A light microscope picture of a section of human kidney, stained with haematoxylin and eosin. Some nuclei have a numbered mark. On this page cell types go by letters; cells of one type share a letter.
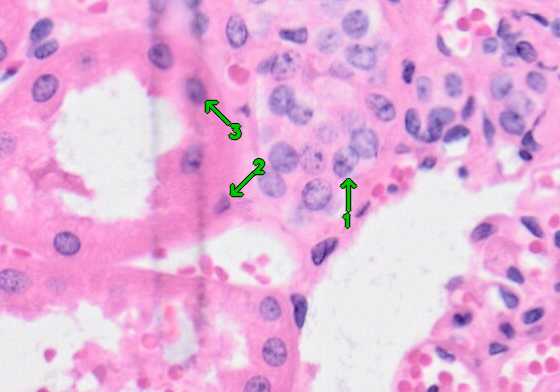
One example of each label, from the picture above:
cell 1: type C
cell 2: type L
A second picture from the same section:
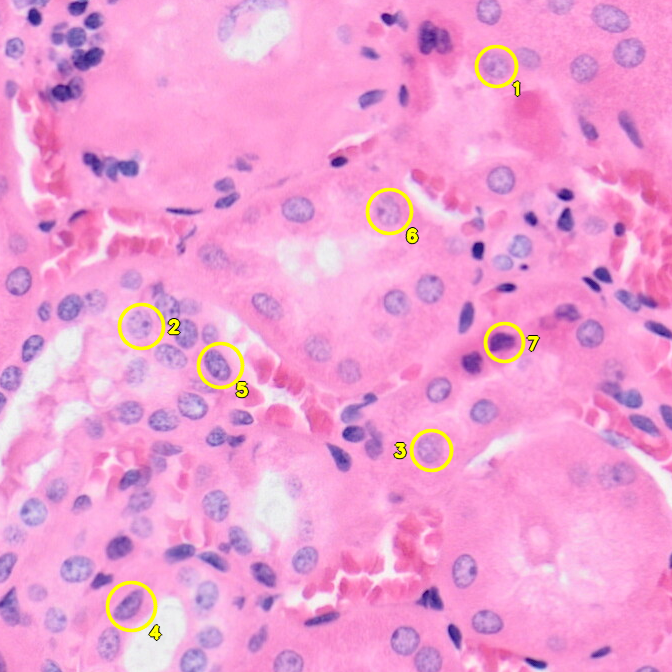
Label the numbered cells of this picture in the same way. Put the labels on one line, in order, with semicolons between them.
type L; type C; type L; type C; type C; type L; type L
